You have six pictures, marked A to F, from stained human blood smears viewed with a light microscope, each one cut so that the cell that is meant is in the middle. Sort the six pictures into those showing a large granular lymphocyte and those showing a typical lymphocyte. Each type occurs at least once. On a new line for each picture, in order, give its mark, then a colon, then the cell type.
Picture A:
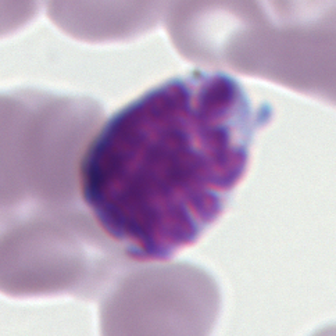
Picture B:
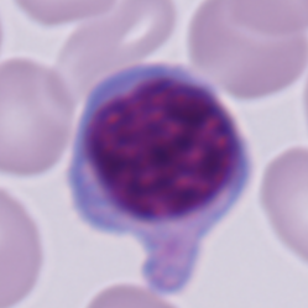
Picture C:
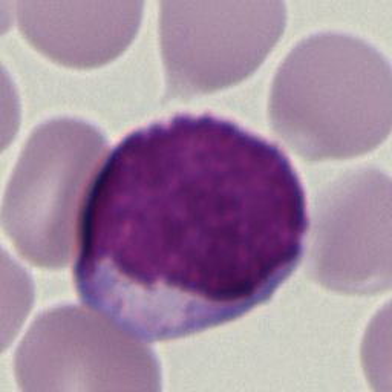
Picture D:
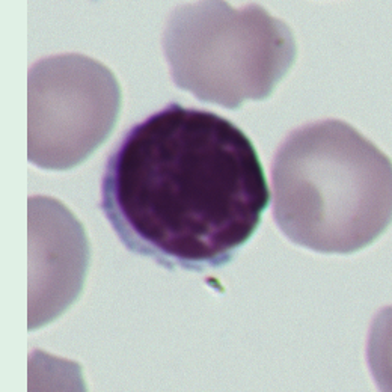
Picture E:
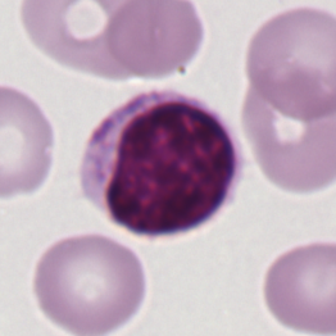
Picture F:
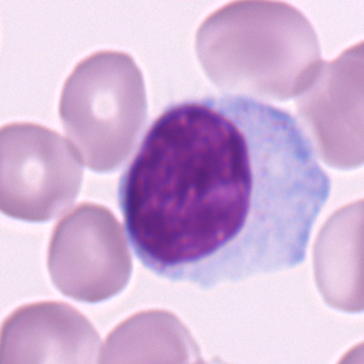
A: large granular lymphocyte
B: typical lymphocyte
C: large granular lymphocyte
D: typical lymphocyte
E: large granular lymphocyte
F: typical lymphocyte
